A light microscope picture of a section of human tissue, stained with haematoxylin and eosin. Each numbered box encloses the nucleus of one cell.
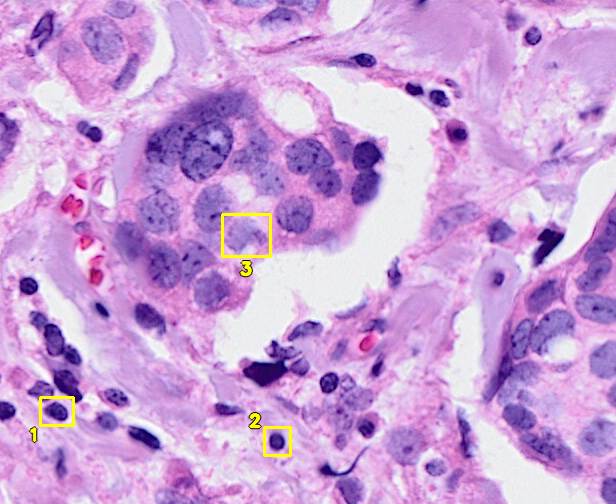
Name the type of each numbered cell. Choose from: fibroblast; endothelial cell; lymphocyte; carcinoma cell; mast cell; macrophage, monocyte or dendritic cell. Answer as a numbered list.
1. lymphocyte
2. lymphocyte
3. carcinoma cell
